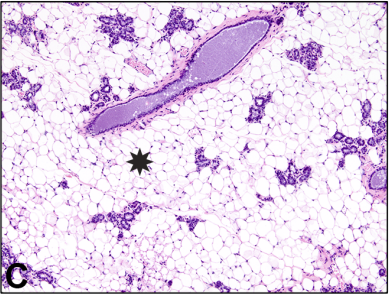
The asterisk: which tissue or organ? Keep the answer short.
Fat pad.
